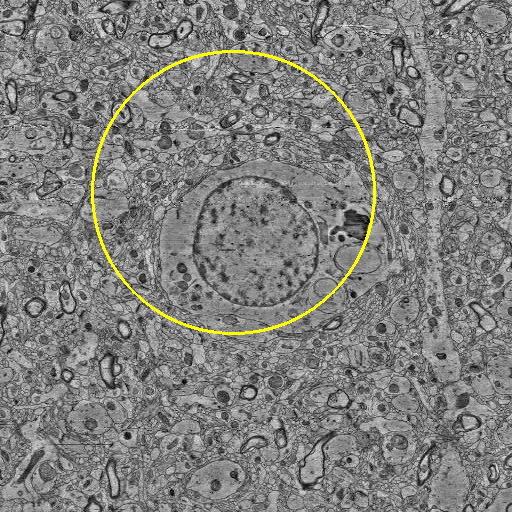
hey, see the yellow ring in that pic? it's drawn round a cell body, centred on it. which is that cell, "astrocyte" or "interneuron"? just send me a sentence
The cell in the ring is an astrocyte.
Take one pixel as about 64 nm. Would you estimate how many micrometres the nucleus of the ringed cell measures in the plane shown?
Roughly 8 micrometers across in this plane.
